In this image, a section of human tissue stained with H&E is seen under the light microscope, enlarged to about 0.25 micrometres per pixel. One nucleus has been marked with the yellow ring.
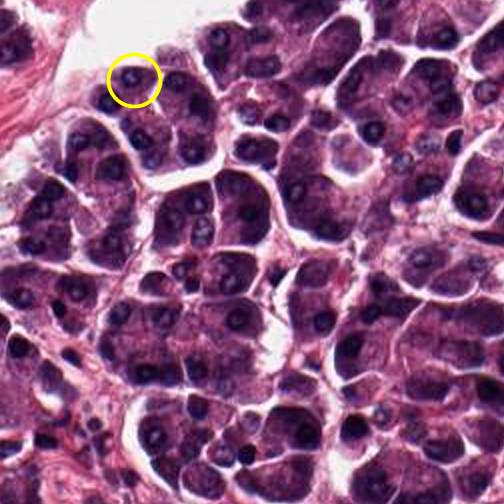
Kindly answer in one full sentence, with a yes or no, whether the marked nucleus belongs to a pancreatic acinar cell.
Yes, the marked nucleus belongs to a pancreatic acinar cell in this image.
